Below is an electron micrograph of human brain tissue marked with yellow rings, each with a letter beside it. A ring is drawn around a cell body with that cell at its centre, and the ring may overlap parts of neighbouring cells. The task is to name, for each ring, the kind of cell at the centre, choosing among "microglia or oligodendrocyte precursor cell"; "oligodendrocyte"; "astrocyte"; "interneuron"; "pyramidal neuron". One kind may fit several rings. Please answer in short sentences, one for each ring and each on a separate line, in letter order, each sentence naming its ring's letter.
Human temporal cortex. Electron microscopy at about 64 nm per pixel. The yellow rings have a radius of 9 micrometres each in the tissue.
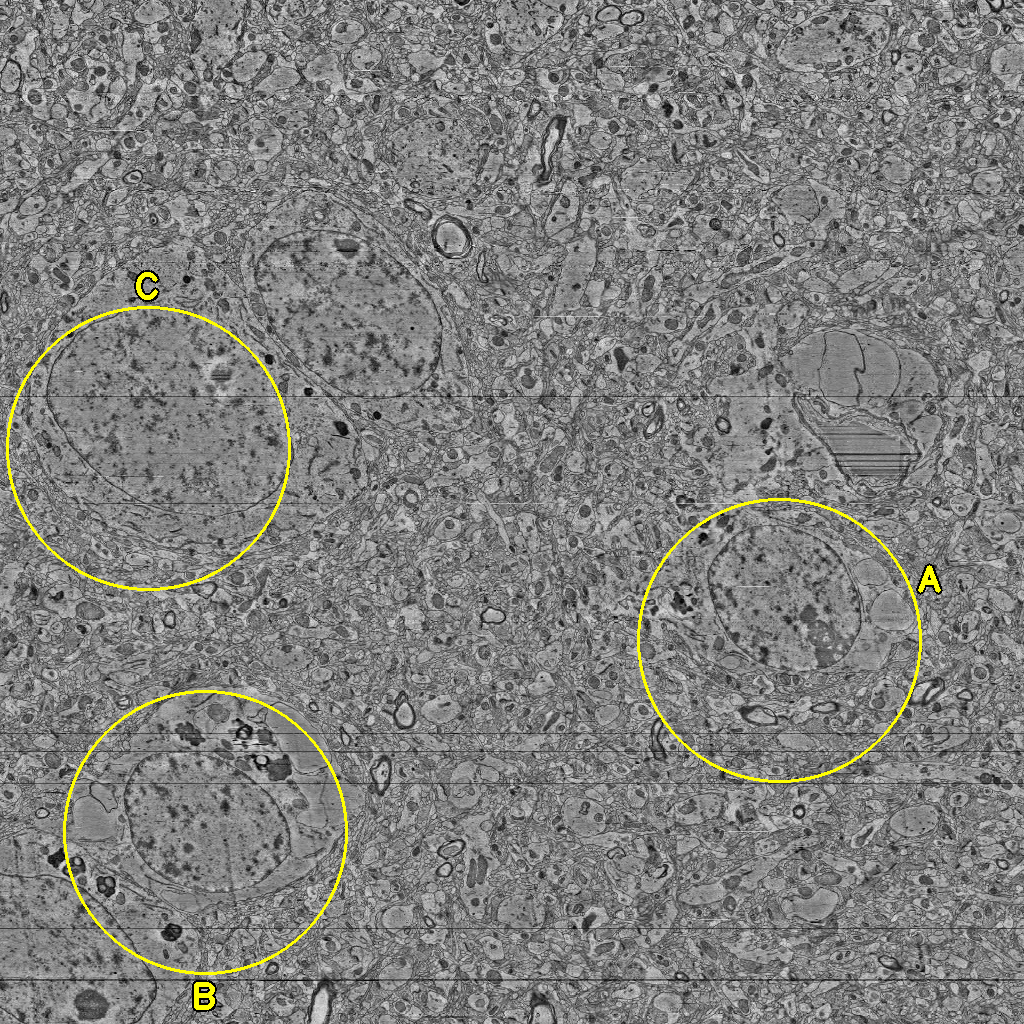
The ring with letter A is centred on an astrocyte.
The ring with letter B is centred on an astrocyte.
The ring with letter C is centred on a pyramidal neuron.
